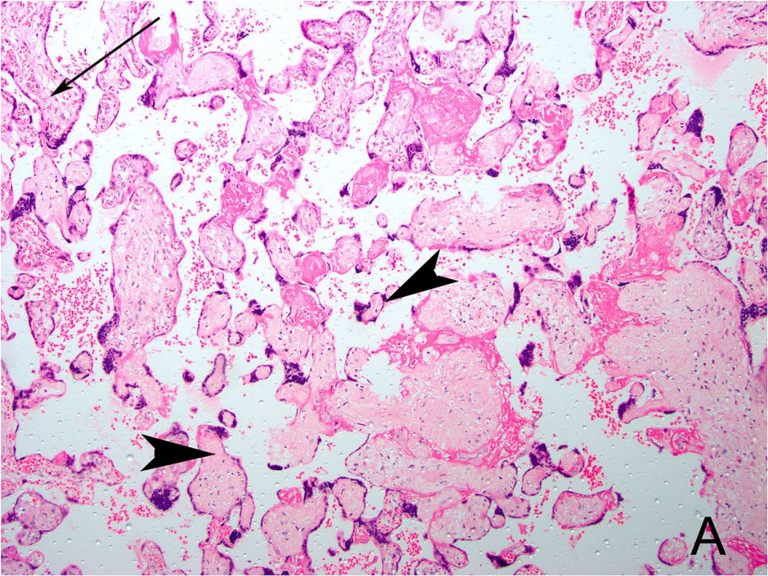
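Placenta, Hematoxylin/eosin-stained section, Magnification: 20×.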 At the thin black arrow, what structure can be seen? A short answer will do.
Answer: normally vascularized villi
